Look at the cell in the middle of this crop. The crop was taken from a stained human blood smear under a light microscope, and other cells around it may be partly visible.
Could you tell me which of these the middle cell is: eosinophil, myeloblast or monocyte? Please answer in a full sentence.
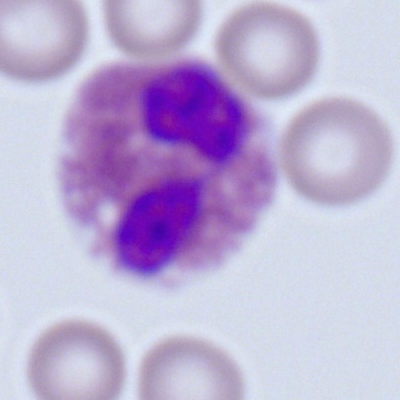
The cell sitting right in the middle is an eosinophil.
